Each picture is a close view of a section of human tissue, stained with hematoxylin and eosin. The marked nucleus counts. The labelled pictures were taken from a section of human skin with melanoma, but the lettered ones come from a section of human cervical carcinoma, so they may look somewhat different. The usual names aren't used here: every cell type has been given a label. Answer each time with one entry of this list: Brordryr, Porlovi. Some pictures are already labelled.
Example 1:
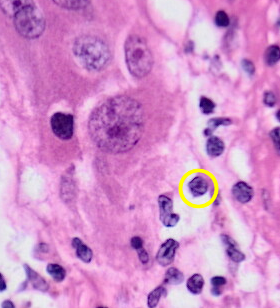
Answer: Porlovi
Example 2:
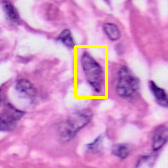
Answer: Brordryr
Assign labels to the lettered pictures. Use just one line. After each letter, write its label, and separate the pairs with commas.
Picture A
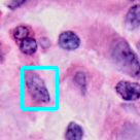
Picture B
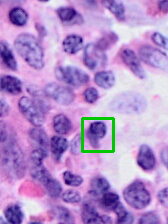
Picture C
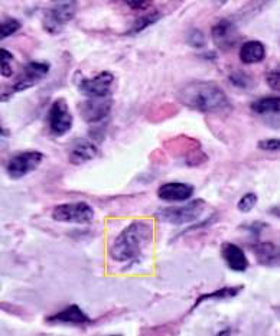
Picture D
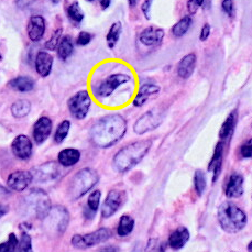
A Brordryr, B Porlovi, C Brordryr, D Porlovi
